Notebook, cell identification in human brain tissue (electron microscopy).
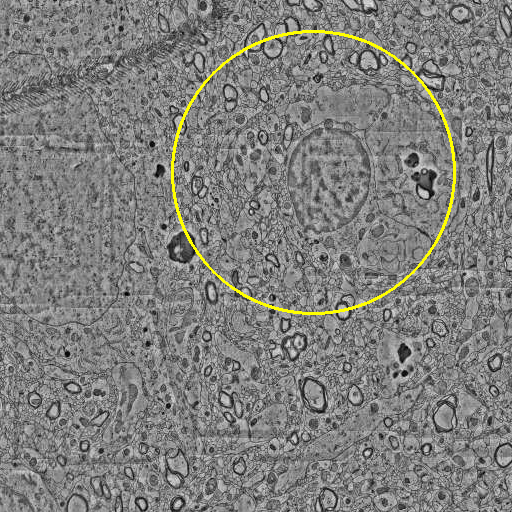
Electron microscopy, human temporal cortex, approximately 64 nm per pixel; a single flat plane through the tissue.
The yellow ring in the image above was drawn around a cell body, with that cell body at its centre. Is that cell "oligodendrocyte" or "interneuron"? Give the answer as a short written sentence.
The cell in the ring is an oligodendrocyte.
